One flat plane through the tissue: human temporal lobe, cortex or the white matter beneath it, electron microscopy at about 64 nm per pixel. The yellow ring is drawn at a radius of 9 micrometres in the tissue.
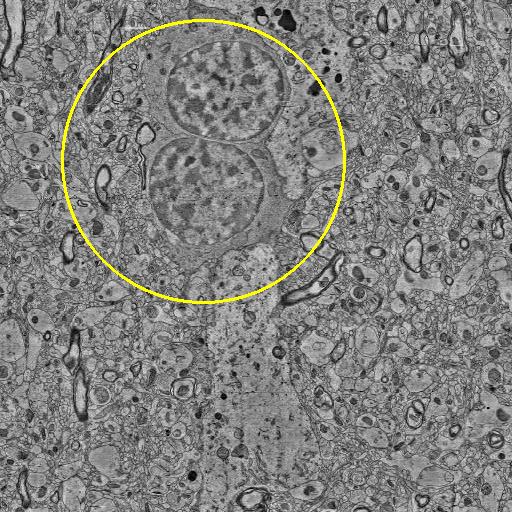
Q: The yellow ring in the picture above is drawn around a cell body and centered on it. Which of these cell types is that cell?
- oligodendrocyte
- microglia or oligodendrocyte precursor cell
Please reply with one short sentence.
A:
The cell body at the ring's center belongs to an oligodendrocyte.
